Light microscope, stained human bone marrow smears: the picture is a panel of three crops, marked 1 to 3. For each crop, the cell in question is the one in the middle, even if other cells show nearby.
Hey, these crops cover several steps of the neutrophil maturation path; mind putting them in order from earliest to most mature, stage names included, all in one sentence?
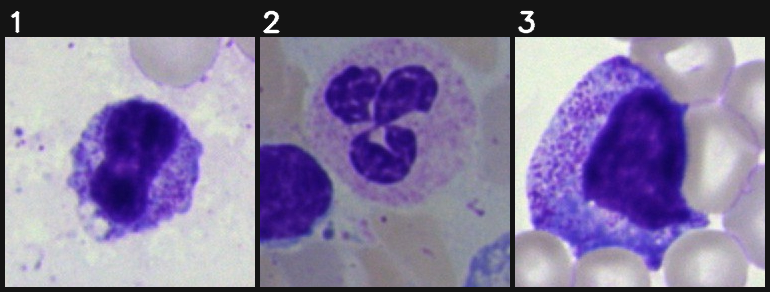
The ordering by maturity, least to greatest, is crop 3 (a promyelocyte), crop 1 (a metamyelocyte) and crop 2 (a segmented neutrophil).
